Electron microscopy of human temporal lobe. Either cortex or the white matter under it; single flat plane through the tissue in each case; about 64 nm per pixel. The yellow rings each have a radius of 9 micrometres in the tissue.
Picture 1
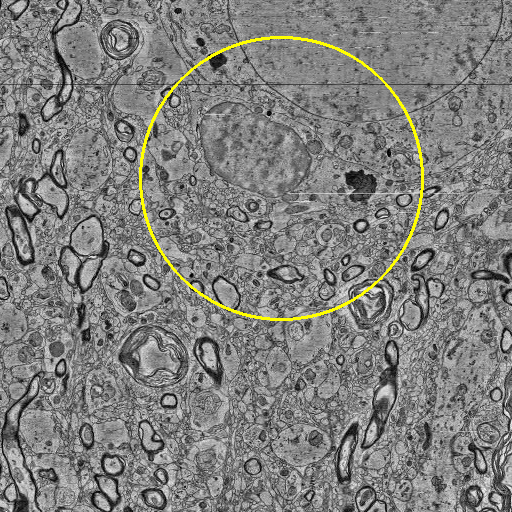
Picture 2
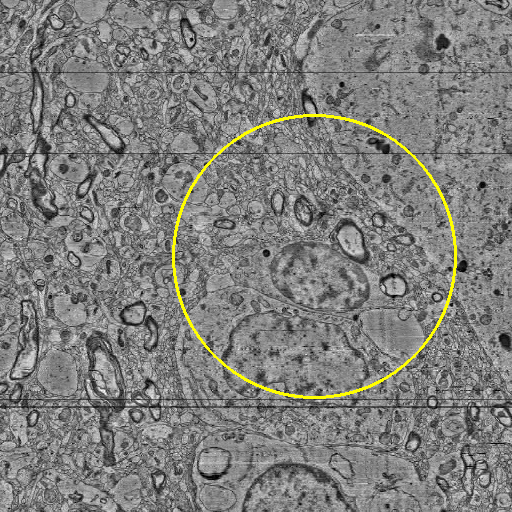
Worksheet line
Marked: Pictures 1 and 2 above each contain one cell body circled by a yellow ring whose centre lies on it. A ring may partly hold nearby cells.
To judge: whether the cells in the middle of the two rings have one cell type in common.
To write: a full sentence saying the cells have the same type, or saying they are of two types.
The cells in the middle of the rings in Picture 1 and Picture 2 have the same type.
